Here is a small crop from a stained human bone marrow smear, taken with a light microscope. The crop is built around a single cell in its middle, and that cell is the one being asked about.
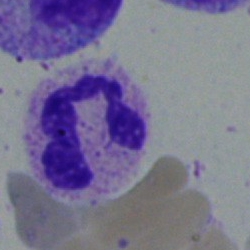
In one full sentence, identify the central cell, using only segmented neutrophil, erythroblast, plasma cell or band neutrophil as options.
The crop shows a segmented neutrophil in its centre.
